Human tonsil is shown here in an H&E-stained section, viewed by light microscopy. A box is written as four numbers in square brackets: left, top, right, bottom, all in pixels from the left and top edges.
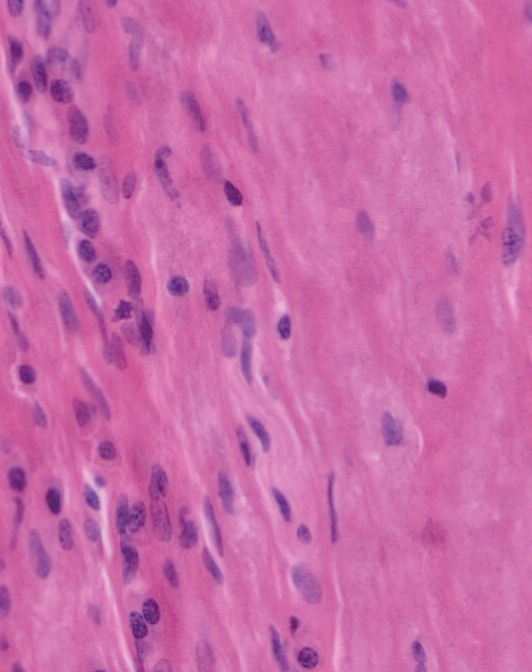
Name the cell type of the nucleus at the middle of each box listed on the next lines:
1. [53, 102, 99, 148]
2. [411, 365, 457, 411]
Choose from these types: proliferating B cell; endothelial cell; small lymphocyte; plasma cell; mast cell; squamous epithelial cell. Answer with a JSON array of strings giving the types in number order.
["endothelial cell", "mast cell"]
